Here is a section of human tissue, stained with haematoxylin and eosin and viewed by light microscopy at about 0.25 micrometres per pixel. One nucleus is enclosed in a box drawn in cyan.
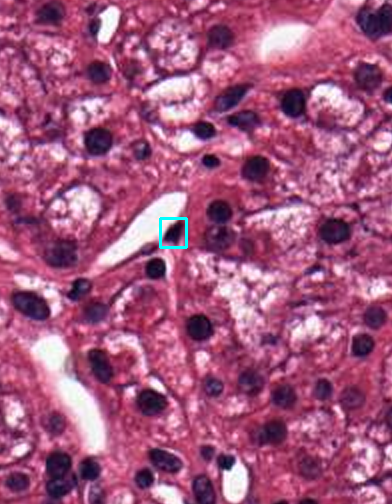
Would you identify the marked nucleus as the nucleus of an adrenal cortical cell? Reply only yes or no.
no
